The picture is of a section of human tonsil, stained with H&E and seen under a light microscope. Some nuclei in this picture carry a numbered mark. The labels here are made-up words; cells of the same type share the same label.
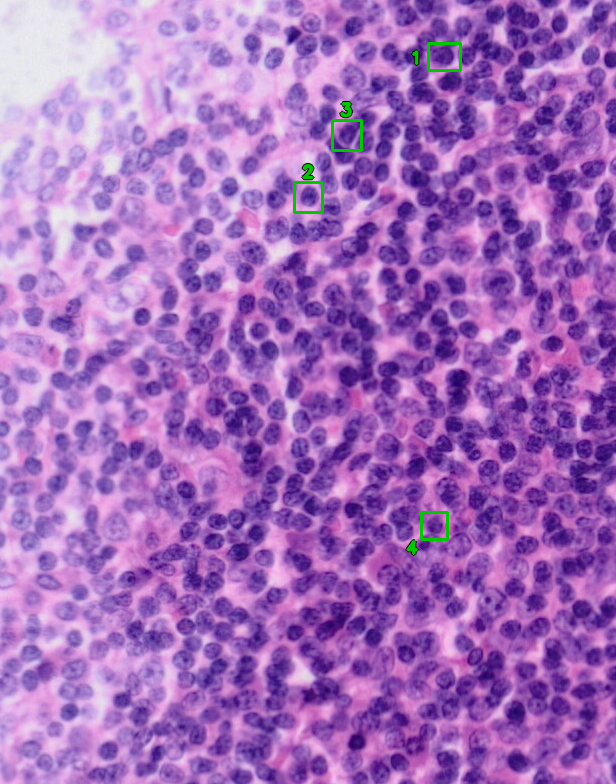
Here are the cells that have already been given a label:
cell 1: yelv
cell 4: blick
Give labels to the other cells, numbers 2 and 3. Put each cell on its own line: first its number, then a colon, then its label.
2: yelv
3: yelv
